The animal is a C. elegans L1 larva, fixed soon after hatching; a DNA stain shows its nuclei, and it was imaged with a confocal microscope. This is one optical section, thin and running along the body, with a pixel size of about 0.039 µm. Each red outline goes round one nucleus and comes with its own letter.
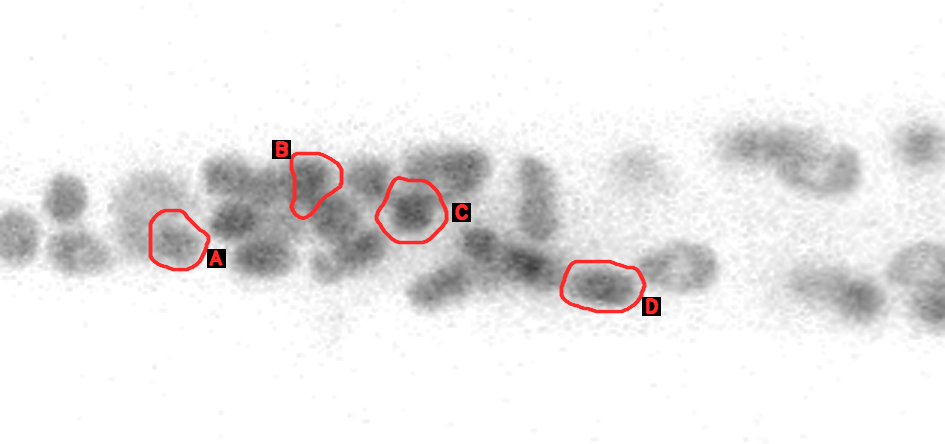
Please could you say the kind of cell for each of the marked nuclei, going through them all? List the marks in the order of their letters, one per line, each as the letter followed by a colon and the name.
A: neuron
B: enteric muscle cell
C: rectal epithelial cell
D: neuron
